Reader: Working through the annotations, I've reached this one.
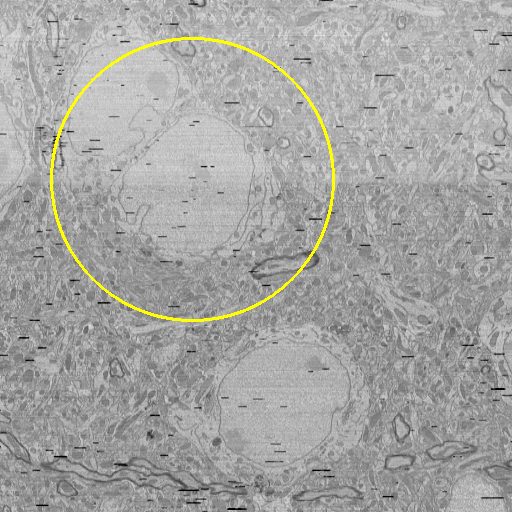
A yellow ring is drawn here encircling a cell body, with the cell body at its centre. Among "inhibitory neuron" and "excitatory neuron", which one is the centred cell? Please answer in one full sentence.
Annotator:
The cell body at the centre of the yellow ring in this image belongs to an inhibitory neuron.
